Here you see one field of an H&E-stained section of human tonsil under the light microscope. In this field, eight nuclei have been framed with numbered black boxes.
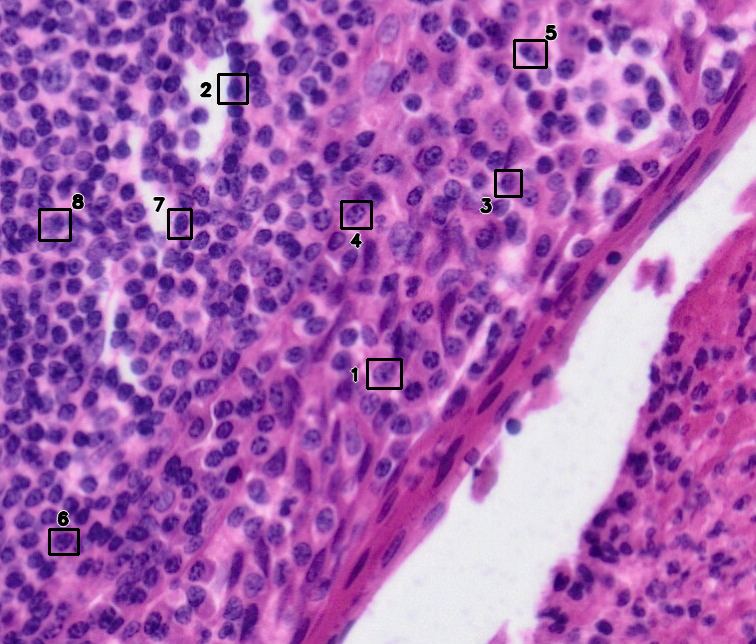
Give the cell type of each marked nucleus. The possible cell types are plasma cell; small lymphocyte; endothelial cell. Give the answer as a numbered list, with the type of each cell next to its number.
1. plasma cell
2. small lymphocyte
3. plasma cell
4. plasma cell
5. plasma cell
6. plasma cell
7. small lymphocyte
8. small lymphocyte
